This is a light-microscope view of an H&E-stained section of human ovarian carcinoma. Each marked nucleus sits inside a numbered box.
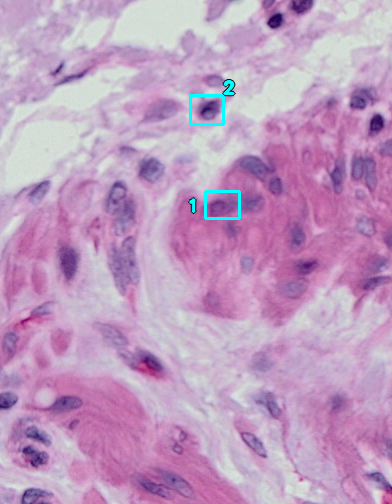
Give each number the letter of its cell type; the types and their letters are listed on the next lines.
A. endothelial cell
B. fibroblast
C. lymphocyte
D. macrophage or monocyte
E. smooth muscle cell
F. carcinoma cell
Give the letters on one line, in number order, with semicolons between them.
E; D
